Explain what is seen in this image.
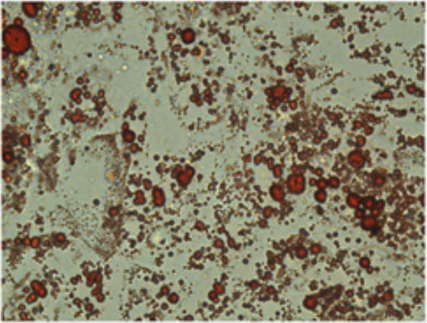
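These are cultured adipocytes containing numerous lipid droplets stained red. Most droplets are small and densely scattered, with some larger round globules among them, and they gather in clusters across the field. The flattened cells behind them appear pale grey-green, with faint outlines visible between the droplet groups.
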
